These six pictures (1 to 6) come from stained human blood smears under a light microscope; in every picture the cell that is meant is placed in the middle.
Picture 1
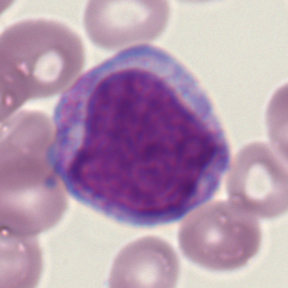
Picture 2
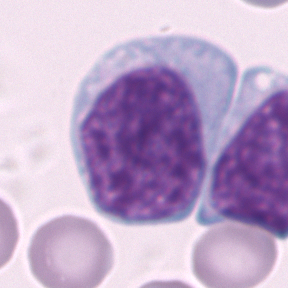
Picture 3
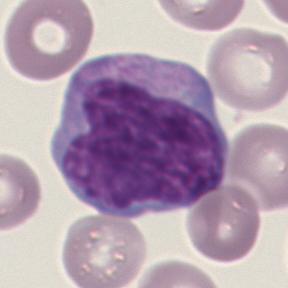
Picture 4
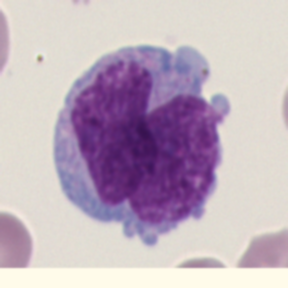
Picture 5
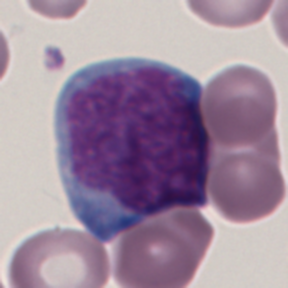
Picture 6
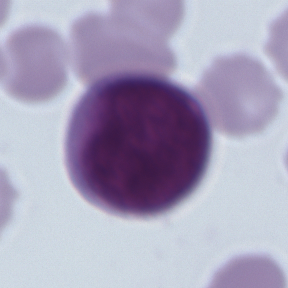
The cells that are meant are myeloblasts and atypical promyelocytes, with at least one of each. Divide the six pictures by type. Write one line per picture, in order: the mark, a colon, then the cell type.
1: atypical promyelocyte
2: myeloblast
3: atypical promyelocyte
4: atypical promyelocyte
5: myeloblast
6: myeloblast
